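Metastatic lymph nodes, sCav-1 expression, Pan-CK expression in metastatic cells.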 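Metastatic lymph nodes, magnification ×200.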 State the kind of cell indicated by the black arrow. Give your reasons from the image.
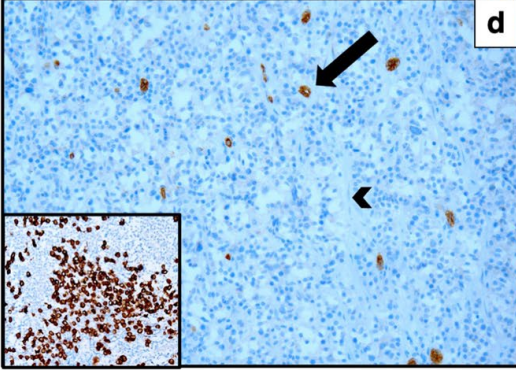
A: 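Endothelial cells. The arrow points to a small round profile with a brown-stained ring. Similar small brown rings are scattered among unstained cells.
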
